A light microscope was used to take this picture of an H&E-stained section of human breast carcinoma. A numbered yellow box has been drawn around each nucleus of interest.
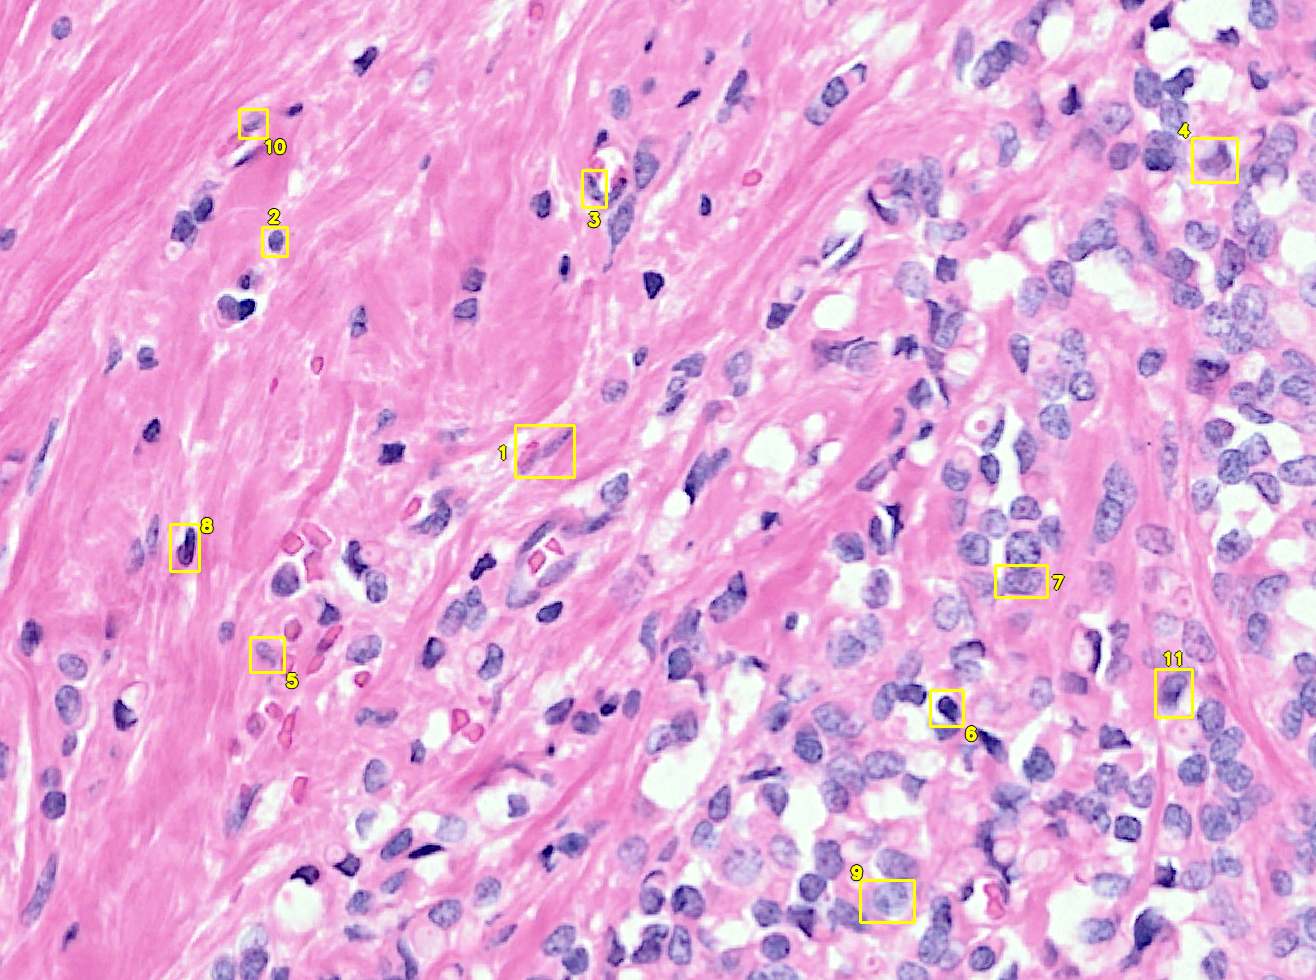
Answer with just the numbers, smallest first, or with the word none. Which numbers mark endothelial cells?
3, 5, 10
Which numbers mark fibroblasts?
1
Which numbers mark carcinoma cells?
4, 7, 9, 11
